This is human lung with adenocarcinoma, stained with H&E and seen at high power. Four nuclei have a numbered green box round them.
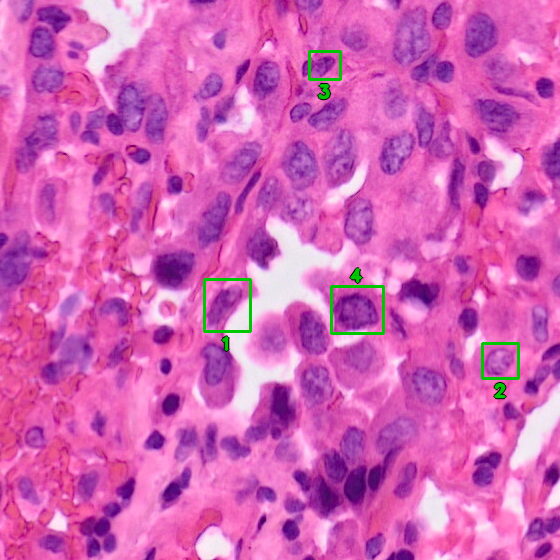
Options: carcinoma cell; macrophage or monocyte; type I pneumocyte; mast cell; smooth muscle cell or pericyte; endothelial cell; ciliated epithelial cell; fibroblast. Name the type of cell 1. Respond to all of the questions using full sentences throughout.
The cell to which the number 1 is assigned is a carcinoma cell.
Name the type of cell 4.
The cell numbered 4 represents a carcinoma cell.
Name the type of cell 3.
The nucleus marked 3 is the nucleus of a macrophage or monocyte.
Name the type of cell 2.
The cell bearing label 2 corresponds to a macrophage or monocyte.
